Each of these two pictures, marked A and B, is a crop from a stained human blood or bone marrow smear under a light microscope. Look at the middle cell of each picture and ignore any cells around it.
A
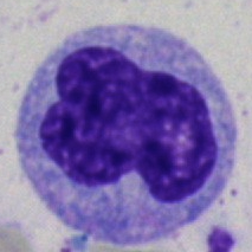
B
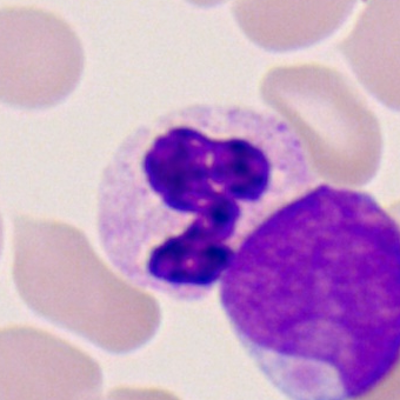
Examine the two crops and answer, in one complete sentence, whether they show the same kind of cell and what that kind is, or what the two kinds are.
No, crop A contains a monocyte, and crop B contains a segmented neutrophil.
